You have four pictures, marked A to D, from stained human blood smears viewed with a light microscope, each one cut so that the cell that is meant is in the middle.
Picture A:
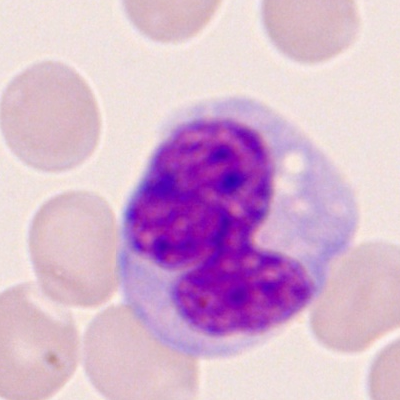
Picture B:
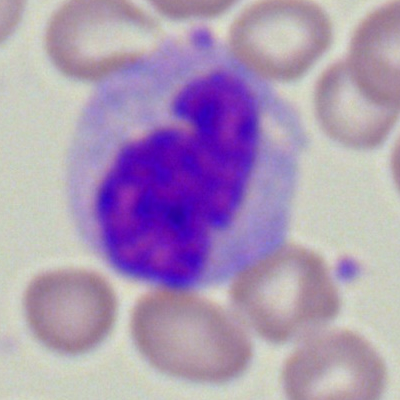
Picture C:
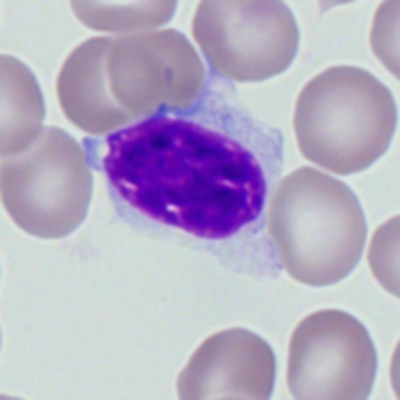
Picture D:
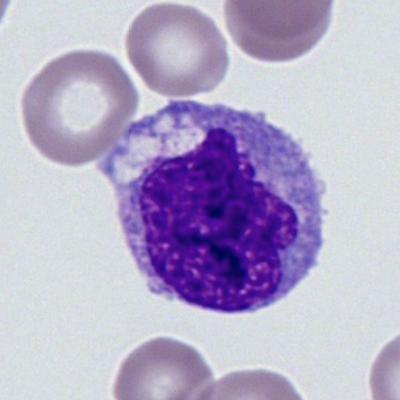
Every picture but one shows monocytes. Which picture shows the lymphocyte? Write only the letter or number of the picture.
C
